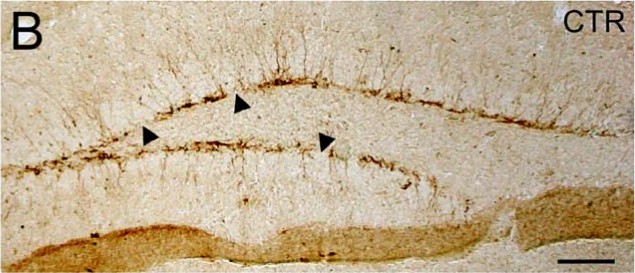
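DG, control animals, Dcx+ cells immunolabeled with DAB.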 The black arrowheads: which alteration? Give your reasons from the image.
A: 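Scarce and short gaps. The arrowheads point at small interruptions in the brown bands.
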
